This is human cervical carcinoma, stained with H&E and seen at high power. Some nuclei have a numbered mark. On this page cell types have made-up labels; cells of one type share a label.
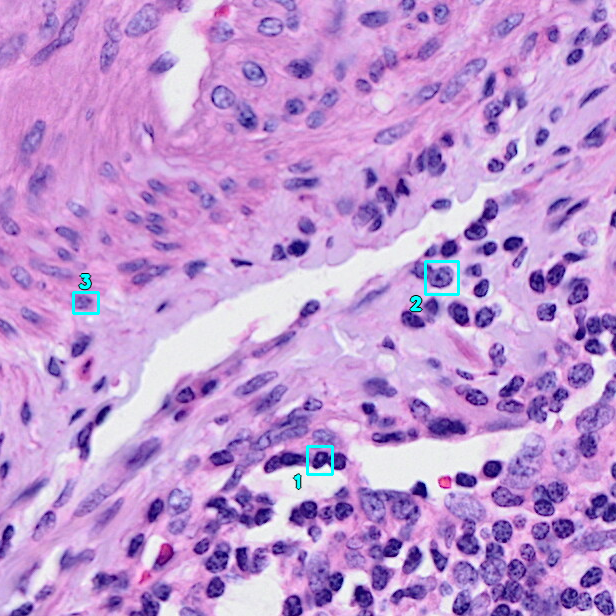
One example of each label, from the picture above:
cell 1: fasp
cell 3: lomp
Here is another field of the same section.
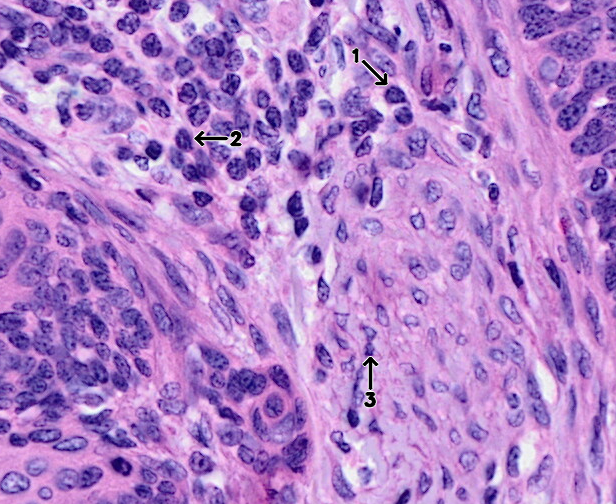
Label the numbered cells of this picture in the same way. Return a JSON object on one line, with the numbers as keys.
{"1": "fasp", "2": "fasp", "3": "lomp"}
